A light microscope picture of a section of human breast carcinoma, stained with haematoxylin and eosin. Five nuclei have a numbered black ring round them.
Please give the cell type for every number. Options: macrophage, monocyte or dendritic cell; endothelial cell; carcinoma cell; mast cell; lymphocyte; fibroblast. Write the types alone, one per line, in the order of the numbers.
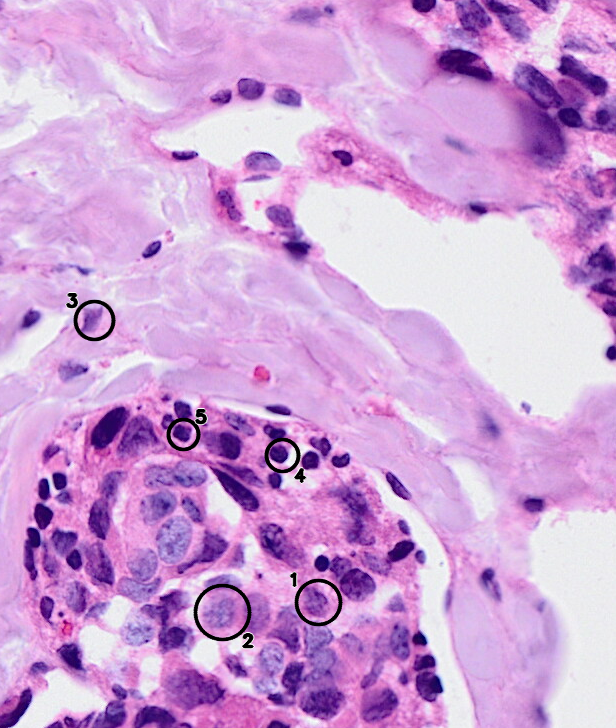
carcinoma cell
carcinoma cell
fibroblast
lymphocyte
lymphocyte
